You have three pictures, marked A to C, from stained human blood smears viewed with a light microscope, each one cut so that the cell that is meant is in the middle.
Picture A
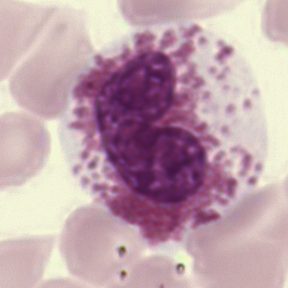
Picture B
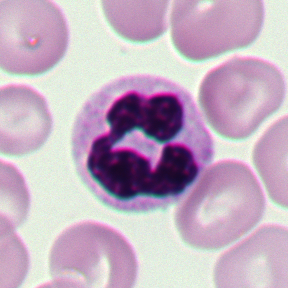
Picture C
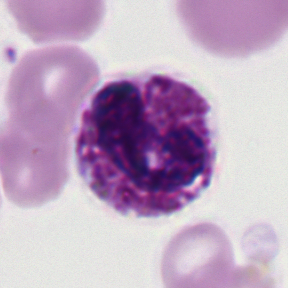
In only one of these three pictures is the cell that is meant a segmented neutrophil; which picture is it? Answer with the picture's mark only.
B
